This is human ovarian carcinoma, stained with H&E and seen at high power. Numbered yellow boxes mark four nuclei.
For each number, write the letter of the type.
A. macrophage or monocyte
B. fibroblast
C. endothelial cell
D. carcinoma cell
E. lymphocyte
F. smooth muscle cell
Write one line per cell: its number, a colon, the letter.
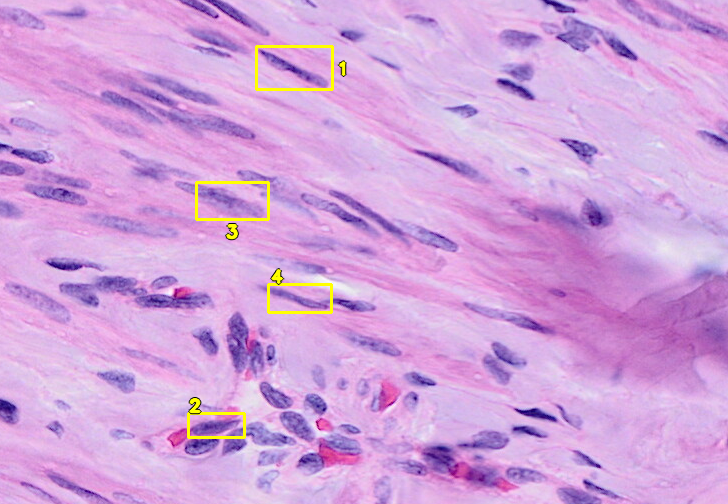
1: F
2: C
3: F
4: F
